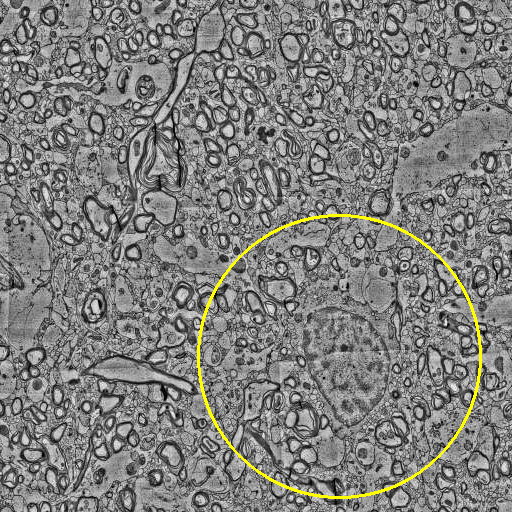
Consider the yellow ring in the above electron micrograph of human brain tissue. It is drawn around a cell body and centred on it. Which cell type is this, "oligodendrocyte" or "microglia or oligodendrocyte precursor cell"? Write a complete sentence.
The cell in question is an oligodendrocyte.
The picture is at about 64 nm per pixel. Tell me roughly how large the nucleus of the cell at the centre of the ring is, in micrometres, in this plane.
In this plane, about 8 micrometres in length and 5 in width.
